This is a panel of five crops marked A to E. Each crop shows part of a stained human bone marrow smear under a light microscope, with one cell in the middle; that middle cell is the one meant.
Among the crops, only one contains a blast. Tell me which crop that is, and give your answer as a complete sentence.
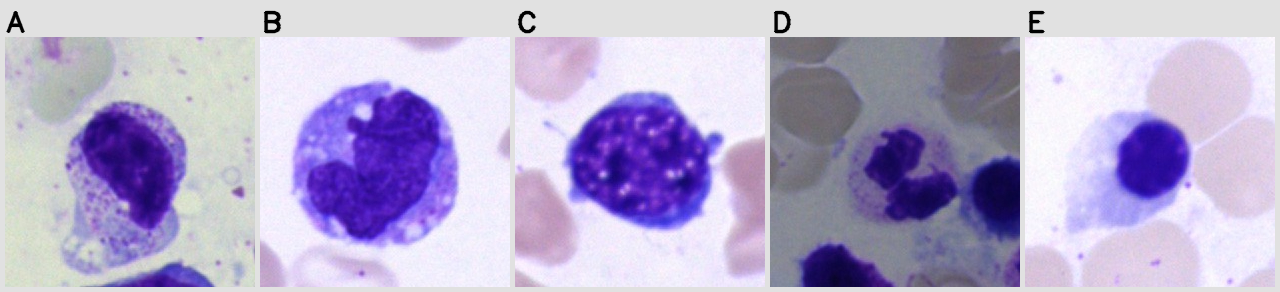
Crop C is the single crop that shows a blast.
